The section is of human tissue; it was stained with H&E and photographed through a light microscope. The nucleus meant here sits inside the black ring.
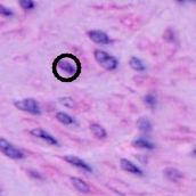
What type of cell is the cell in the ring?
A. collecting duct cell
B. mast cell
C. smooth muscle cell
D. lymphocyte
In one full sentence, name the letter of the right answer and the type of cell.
The correct option, C, describes the cell in the ring as a smooth muscle cell.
